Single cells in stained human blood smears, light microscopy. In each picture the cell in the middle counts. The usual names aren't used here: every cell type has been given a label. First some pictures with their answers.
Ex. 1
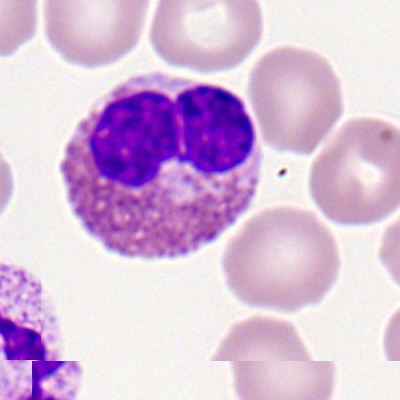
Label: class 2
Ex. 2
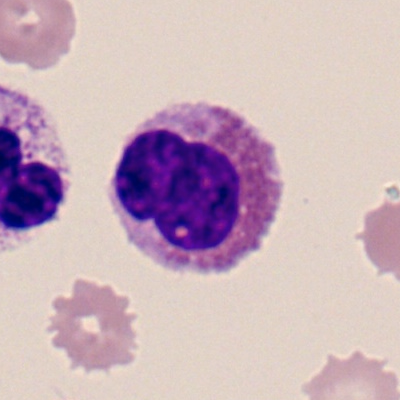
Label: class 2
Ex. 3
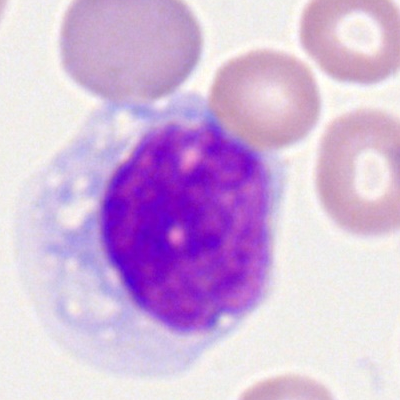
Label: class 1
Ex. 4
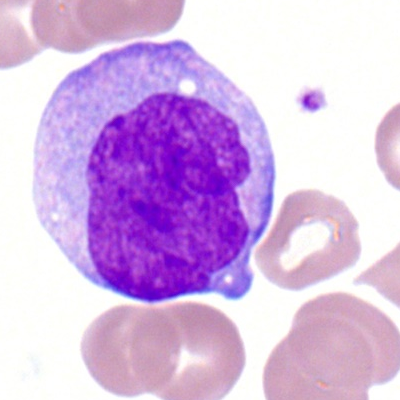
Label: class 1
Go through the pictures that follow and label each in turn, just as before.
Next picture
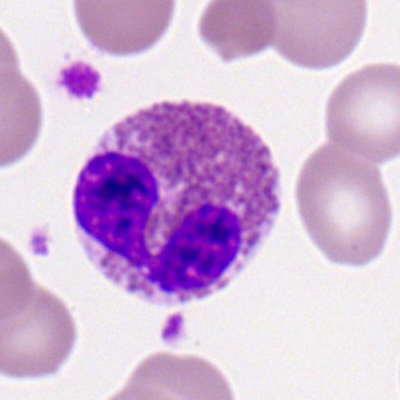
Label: class 2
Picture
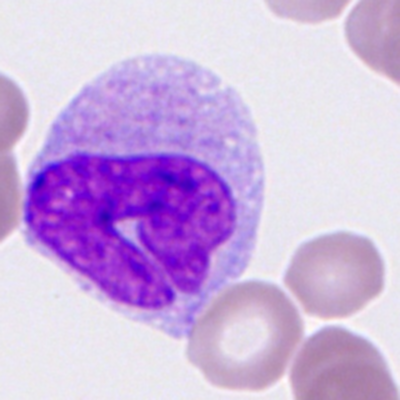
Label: class 1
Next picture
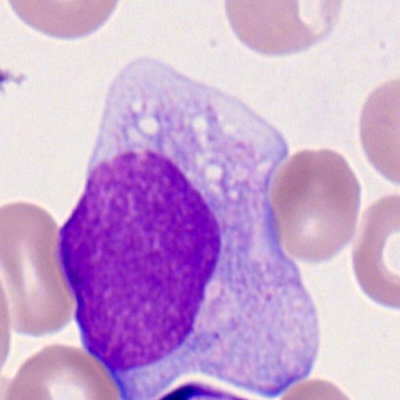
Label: class 1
